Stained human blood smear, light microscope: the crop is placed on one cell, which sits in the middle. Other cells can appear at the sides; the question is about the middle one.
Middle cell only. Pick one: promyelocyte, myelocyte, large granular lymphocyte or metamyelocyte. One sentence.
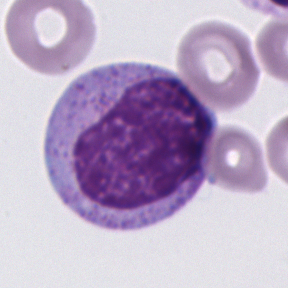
As for the cell in the middle, it is a myelocyte.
